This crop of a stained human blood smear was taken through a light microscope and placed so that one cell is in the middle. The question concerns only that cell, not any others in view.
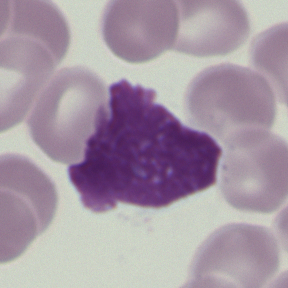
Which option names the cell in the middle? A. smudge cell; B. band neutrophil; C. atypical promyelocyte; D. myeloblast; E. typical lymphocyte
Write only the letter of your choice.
A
